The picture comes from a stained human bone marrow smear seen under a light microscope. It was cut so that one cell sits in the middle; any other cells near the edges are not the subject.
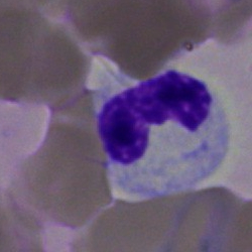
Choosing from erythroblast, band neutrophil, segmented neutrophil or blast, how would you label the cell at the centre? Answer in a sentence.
To answer, the cell in the center of the crop is a band neutrophil.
